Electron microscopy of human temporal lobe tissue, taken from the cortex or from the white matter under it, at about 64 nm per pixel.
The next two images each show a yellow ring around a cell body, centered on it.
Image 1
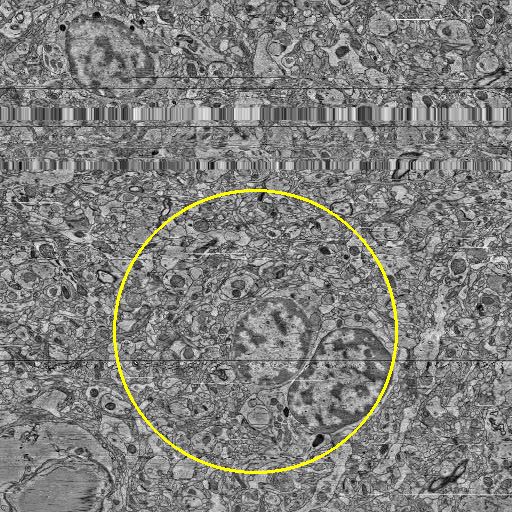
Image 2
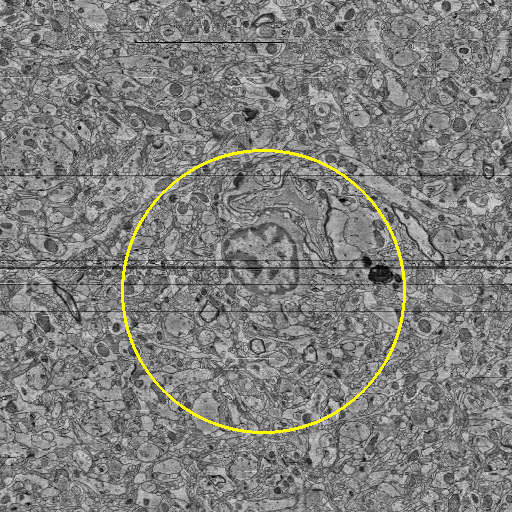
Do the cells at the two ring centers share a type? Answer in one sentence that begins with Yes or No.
Yes, across the two images the cells at the ring centers share one type.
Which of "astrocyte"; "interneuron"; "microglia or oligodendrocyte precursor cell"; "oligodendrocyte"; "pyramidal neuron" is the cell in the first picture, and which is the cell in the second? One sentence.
Each of the two rings surrounds an oligodendrocyte.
